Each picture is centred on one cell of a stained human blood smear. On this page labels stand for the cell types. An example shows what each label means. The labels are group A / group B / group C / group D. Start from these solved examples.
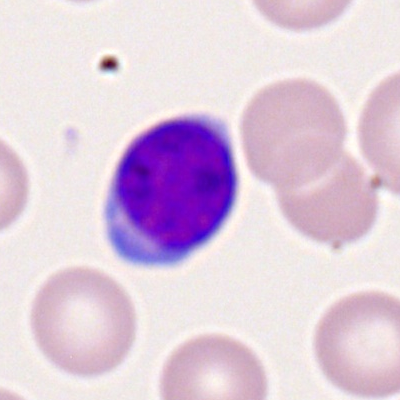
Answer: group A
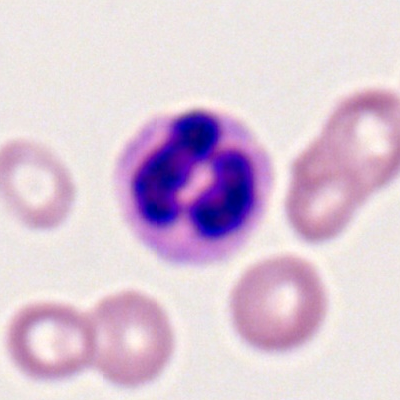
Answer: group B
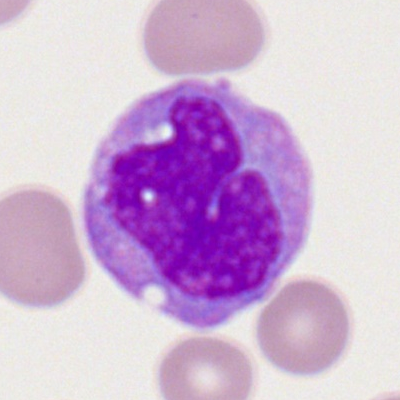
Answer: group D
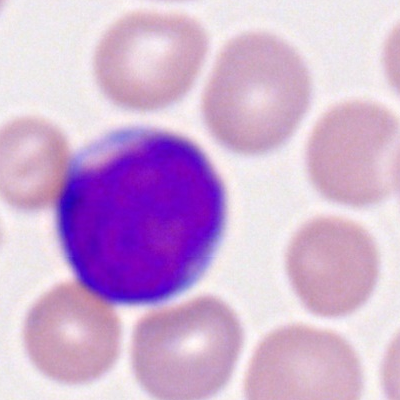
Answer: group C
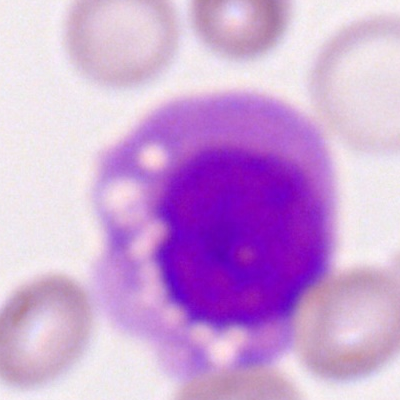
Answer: group D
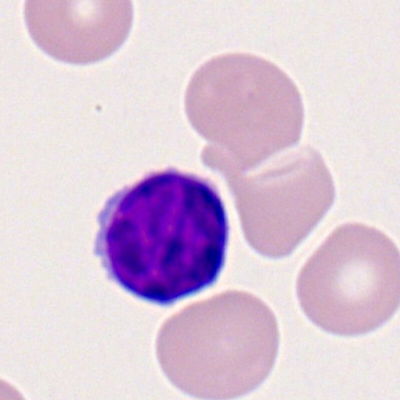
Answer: group A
